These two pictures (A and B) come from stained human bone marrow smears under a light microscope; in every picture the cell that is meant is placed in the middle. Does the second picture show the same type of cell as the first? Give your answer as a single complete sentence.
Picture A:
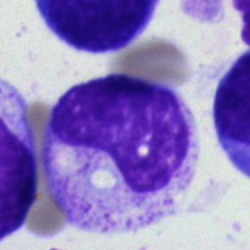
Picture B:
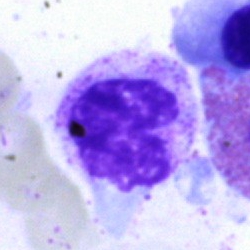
No. Picture A shows a metamyelocyte, but picture B shows a band neutrophil.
